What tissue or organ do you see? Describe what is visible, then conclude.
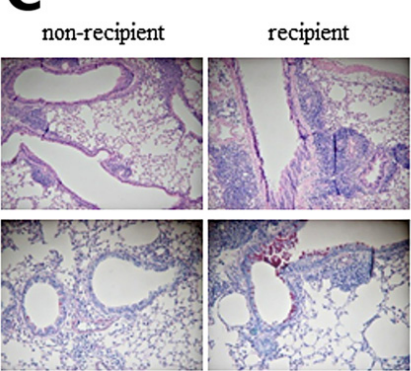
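Thin-walled alveolar spaces fill the background. Large tubular airways lined by epithelium cross the sections. The answer: lung.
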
